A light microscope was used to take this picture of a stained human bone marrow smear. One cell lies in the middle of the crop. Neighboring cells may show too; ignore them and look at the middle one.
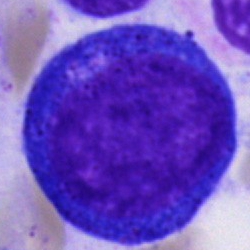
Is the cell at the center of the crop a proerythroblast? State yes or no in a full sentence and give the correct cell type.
Yes, the central cell of this crop corresponds to a proerythroblast.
